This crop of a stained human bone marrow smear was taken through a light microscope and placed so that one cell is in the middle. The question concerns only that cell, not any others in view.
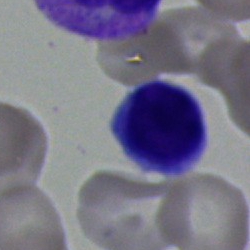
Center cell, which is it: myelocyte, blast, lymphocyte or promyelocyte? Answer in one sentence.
At the center of the crop sits a lymphocyte.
